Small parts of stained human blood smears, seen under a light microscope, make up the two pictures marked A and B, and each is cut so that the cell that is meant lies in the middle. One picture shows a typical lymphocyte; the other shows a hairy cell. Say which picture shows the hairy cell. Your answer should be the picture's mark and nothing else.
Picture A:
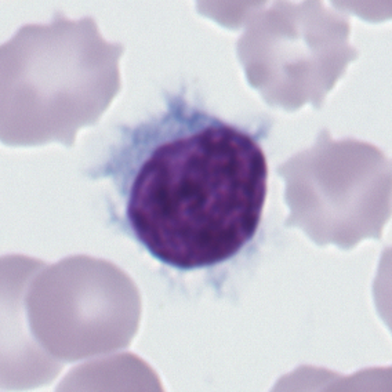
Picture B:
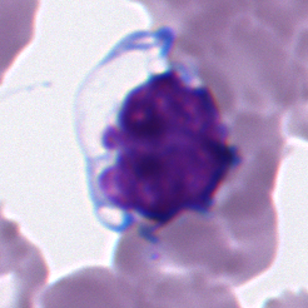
A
